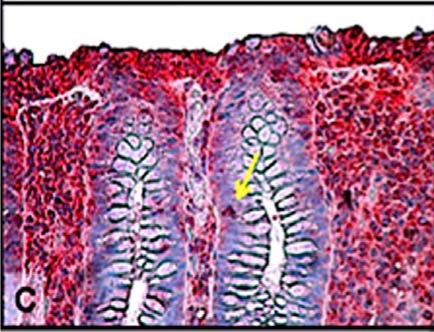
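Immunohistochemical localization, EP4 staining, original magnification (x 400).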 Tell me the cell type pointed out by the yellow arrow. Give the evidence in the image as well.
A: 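Infiltrating lymphocytes. The arrow points at a small, dark, round cell lying among the columnar epithelial cells of a crypt. It is much smaller than the neighbouring epithelial cells.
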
